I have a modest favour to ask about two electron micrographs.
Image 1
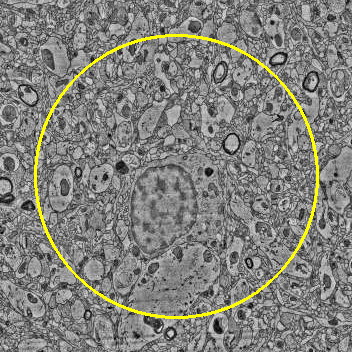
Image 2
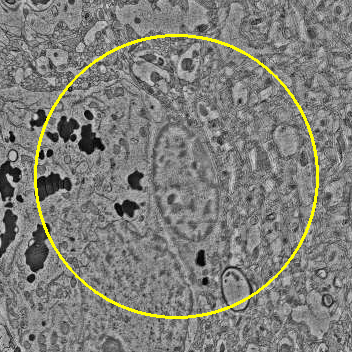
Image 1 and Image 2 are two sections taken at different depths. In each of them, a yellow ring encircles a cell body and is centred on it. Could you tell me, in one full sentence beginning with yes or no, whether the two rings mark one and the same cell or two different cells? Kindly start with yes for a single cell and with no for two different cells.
No, two different cells are marked by the two rings.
